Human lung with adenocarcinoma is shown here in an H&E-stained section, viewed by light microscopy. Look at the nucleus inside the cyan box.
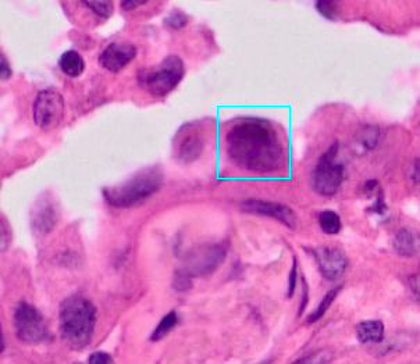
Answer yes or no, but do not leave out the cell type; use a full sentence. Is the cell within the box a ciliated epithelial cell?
No, the cell within the box is scored as a carcinoma cell and not as a ciliated epithelial cell.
